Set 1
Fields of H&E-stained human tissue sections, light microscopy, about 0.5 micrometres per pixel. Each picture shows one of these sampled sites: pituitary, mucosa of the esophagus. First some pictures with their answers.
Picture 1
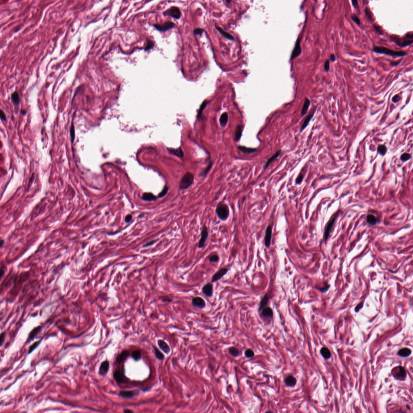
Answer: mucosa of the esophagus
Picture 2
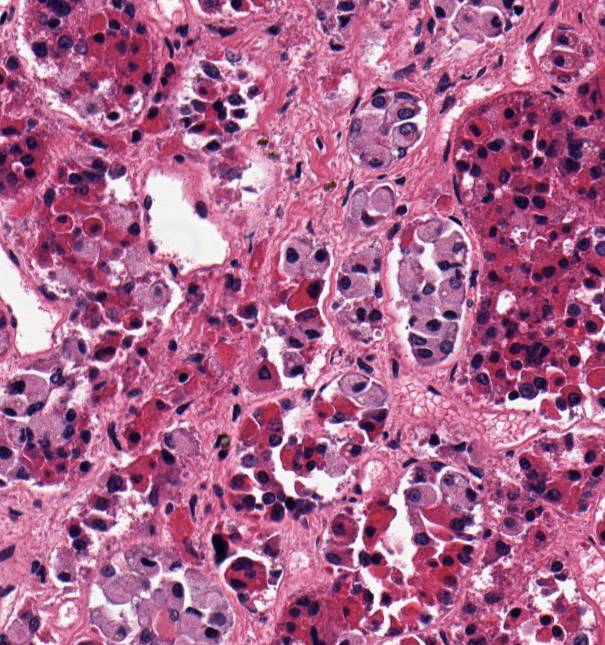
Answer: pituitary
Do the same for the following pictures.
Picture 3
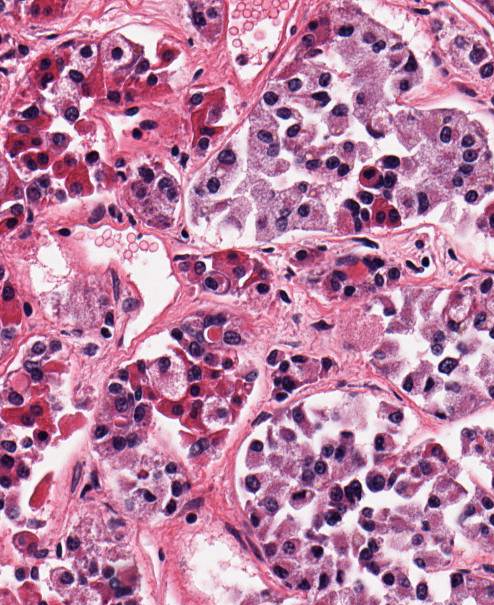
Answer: pituitary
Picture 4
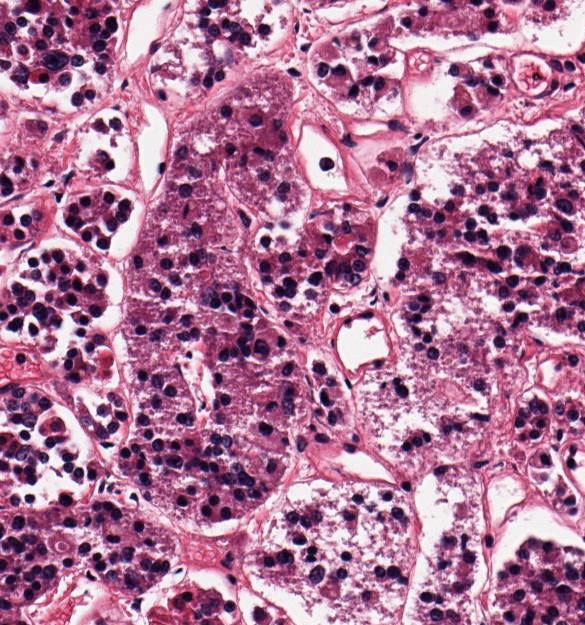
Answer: pituitary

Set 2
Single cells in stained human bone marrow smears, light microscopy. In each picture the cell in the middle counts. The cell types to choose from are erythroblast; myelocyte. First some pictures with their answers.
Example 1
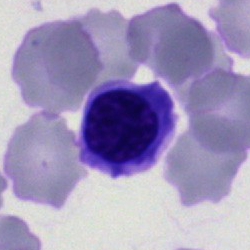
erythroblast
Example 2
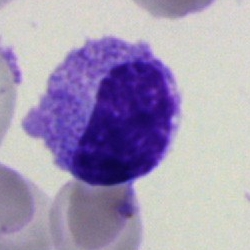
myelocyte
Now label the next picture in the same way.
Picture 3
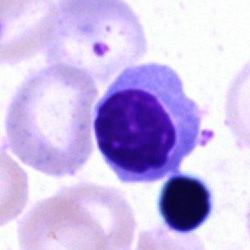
erythroblast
